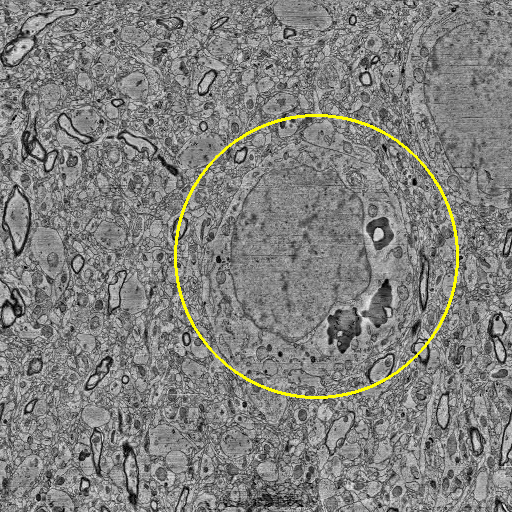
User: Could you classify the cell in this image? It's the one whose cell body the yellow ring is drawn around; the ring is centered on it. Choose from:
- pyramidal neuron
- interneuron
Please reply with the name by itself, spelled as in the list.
interneuron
